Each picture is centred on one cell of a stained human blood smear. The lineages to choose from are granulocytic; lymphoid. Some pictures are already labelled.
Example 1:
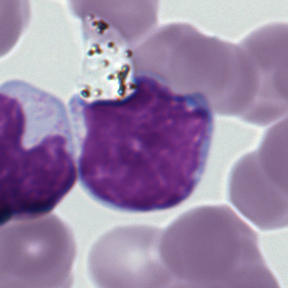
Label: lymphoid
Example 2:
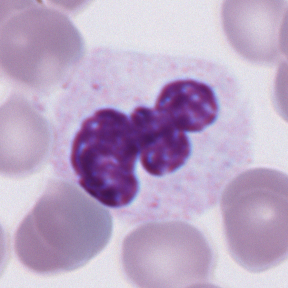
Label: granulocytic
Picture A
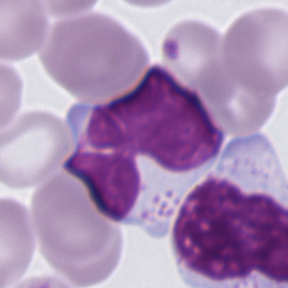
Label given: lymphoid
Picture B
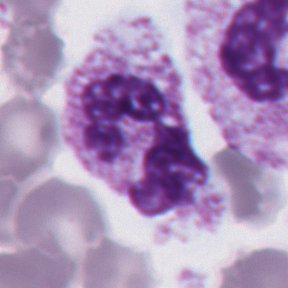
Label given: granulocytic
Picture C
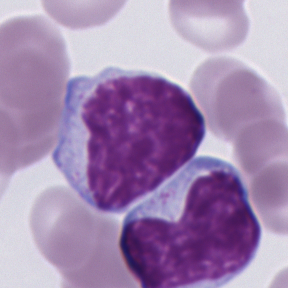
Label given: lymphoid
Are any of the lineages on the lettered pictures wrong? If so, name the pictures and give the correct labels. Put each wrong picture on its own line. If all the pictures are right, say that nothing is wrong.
Nothing to fix; every label fits.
